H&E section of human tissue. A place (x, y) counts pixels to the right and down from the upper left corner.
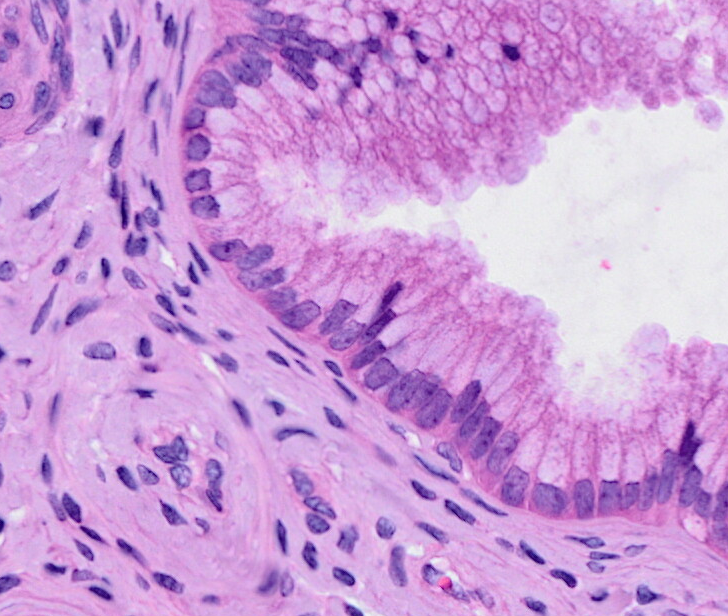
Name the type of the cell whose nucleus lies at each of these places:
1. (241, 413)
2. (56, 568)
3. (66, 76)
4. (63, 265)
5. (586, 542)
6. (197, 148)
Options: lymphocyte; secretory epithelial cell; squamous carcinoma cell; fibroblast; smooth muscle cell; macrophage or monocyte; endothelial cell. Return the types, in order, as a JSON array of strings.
["fibroblast", "fibroblast", "smooth muscle cell", "fibroblast", "fibroblast", "secretory epithelial cell"]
